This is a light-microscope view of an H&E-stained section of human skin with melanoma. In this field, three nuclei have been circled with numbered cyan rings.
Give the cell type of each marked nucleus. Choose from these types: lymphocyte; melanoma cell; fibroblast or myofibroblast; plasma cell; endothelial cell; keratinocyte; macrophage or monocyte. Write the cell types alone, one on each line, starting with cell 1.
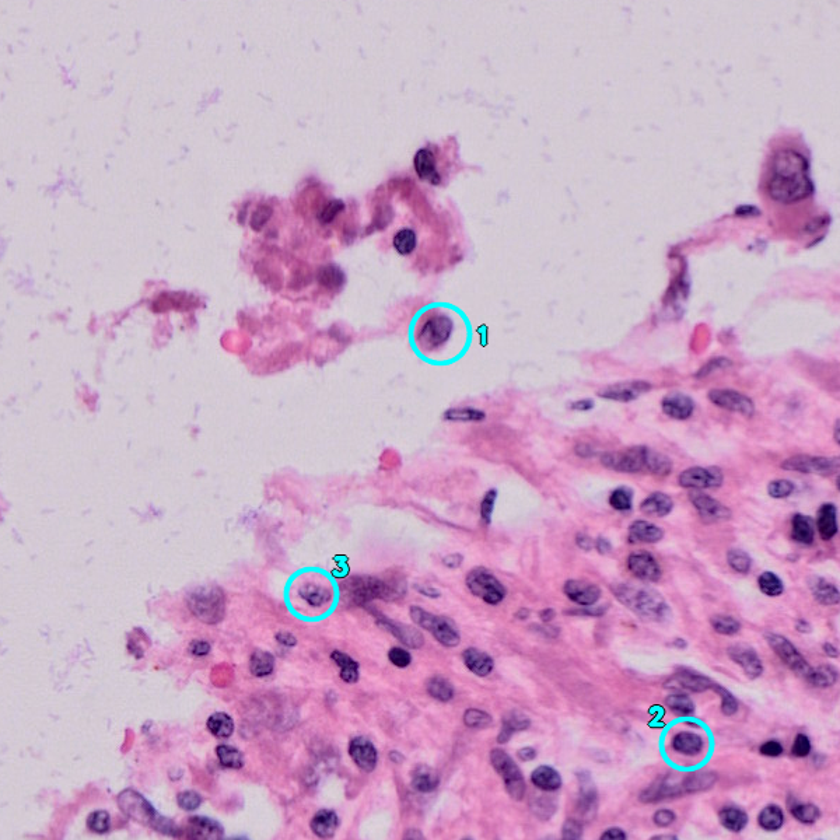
macrophage or monocyte
lymphocyte
lymphocyte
